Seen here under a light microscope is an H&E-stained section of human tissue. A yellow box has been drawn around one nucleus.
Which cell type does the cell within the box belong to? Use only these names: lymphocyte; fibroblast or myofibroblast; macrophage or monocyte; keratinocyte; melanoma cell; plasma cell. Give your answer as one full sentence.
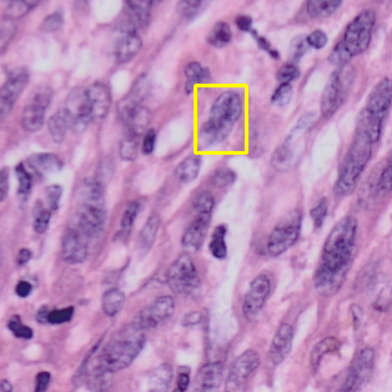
On this particular slide, the cell within the box is a melanoma cell.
